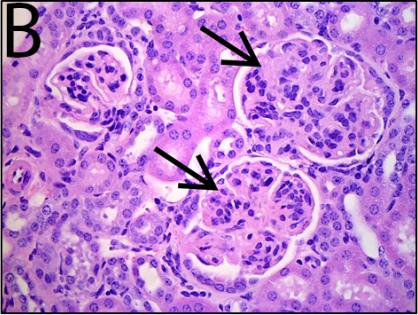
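Renal cortex with enlarged, lobulated, hypercellular glomeruli whose tufts nearly fill Bowman's space. Surrounding tubules are lined by cuboidal epithelium with pink cytoplasm and round nuclei.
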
